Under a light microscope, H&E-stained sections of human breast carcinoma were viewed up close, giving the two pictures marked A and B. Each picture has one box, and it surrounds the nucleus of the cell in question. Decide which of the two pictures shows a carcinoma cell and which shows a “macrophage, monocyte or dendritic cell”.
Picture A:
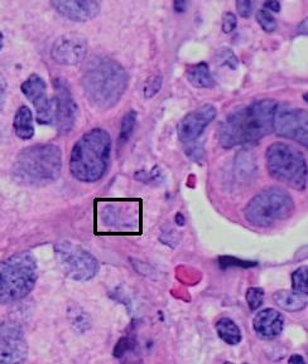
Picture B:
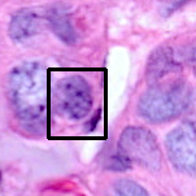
A: macrophage, monocyte or dendritic cell
B: carcinoma cell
